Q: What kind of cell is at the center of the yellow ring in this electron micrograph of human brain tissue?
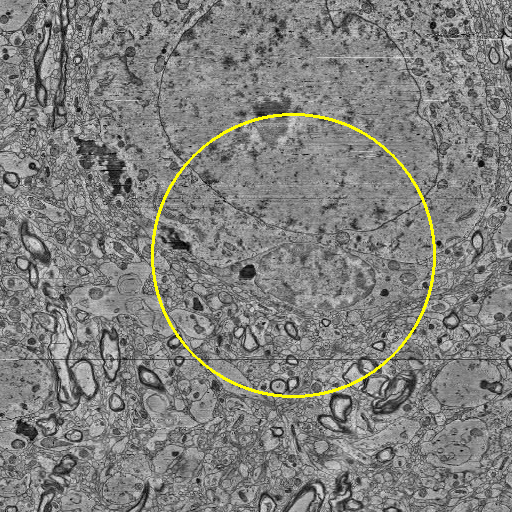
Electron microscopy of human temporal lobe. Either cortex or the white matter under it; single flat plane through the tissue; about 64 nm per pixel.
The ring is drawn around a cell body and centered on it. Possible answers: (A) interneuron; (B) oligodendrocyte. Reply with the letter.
B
